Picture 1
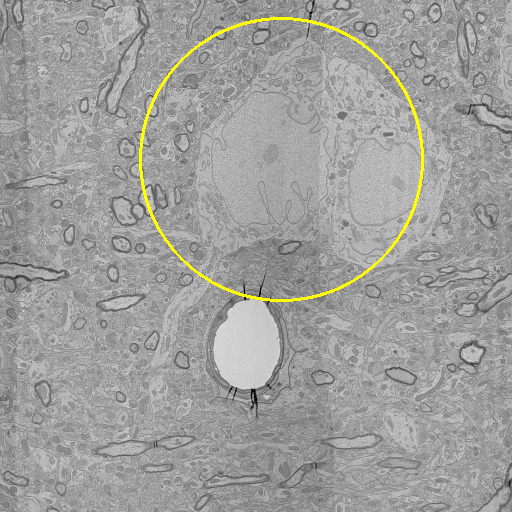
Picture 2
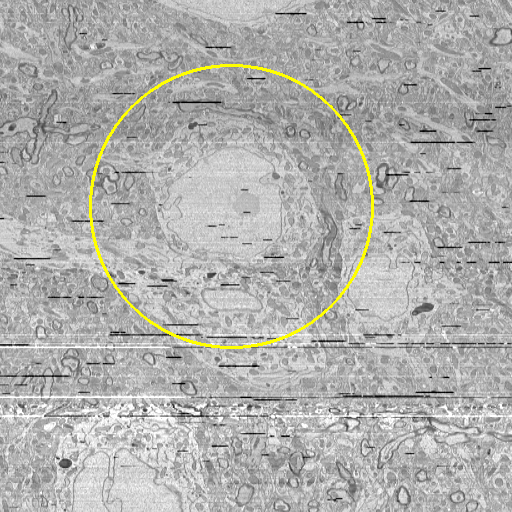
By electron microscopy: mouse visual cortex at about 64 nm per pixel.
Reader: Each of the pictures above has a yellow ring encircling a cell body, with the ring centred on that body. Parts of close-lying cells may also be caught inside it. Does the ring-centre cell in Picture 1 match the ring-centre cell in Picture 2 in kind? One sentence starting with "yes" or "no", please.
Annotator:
Yes, Picture 1 and Picture 2 show ring-centre cells of a single kind.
